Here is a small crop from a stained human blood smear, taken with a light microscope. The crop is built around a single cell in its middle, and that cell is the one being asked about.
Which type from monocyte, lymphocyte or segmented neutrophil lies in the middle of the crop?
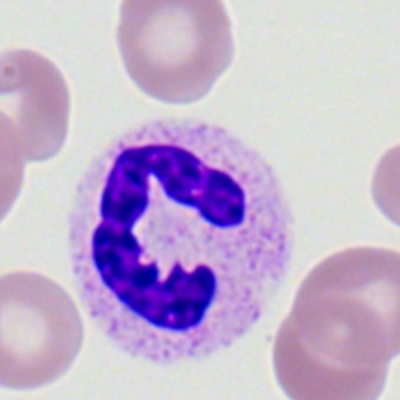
segmented neutrophil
